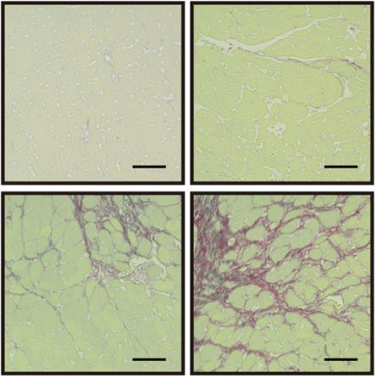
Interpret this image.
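In the upper two images the muscle is nearly uniform with only faint red at a few thin septa. In the lower two images a dense red fibrous network runs between and around muscle bundles, breaking the tissue into irregular islands, which is fibrosis.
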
